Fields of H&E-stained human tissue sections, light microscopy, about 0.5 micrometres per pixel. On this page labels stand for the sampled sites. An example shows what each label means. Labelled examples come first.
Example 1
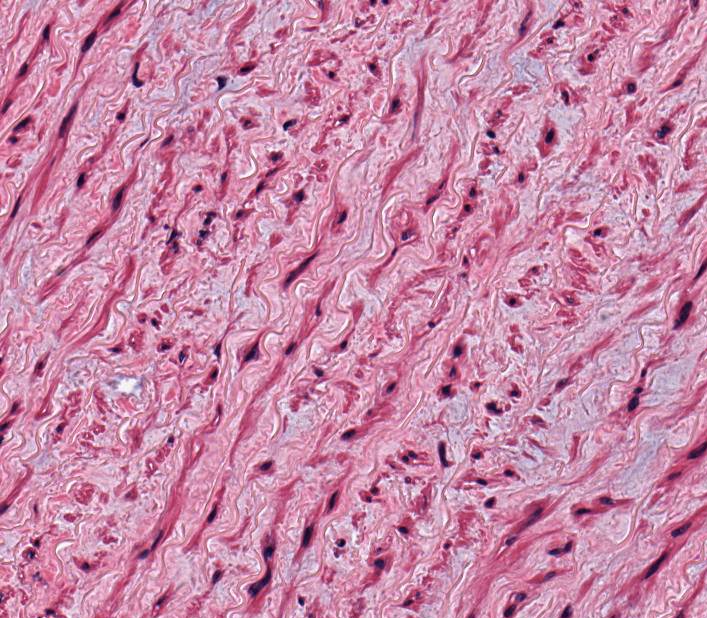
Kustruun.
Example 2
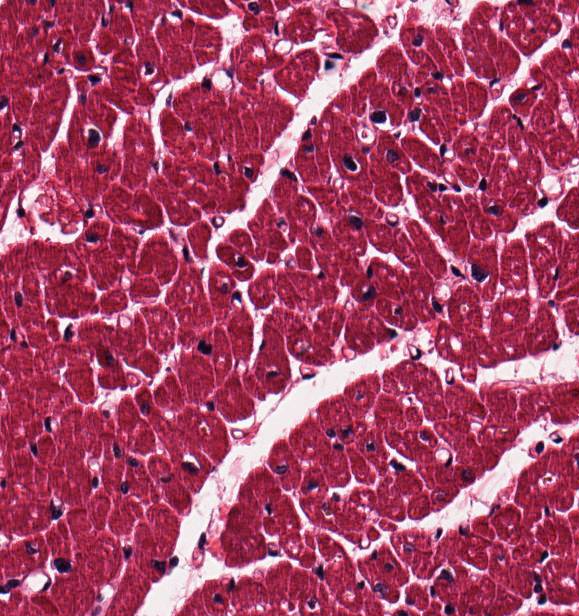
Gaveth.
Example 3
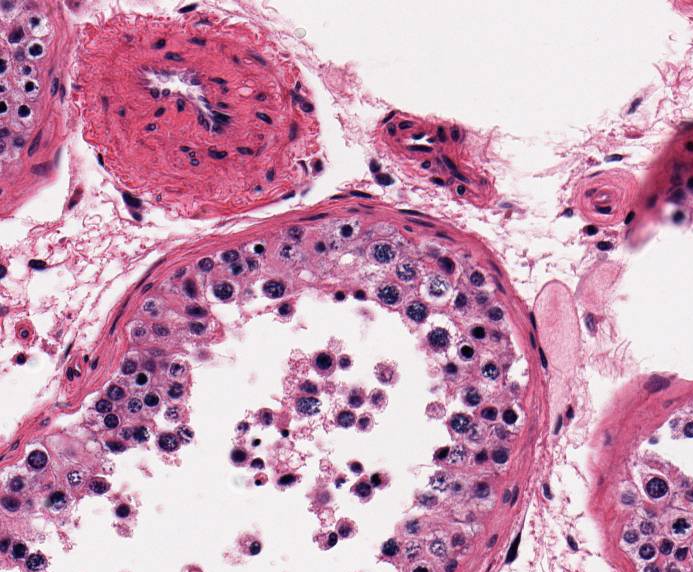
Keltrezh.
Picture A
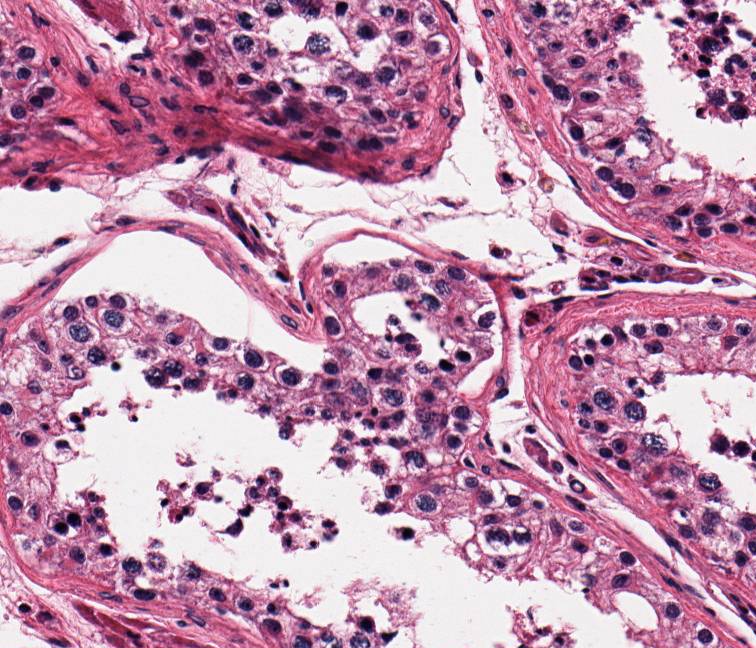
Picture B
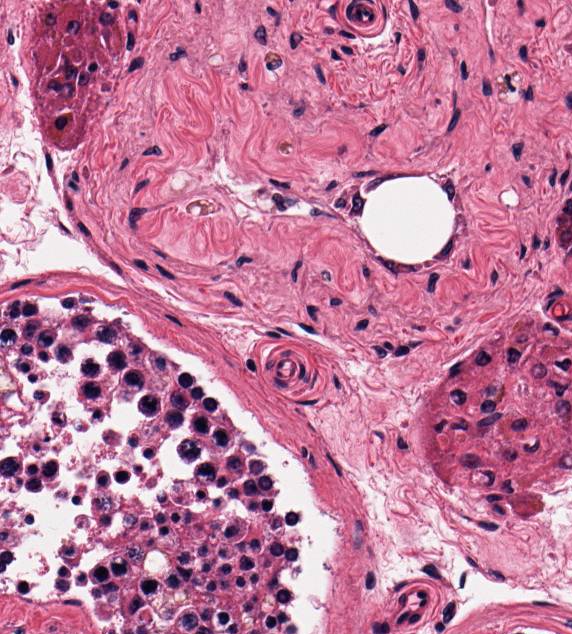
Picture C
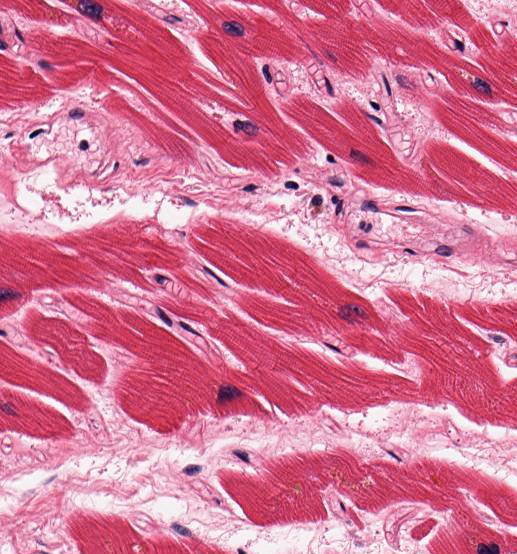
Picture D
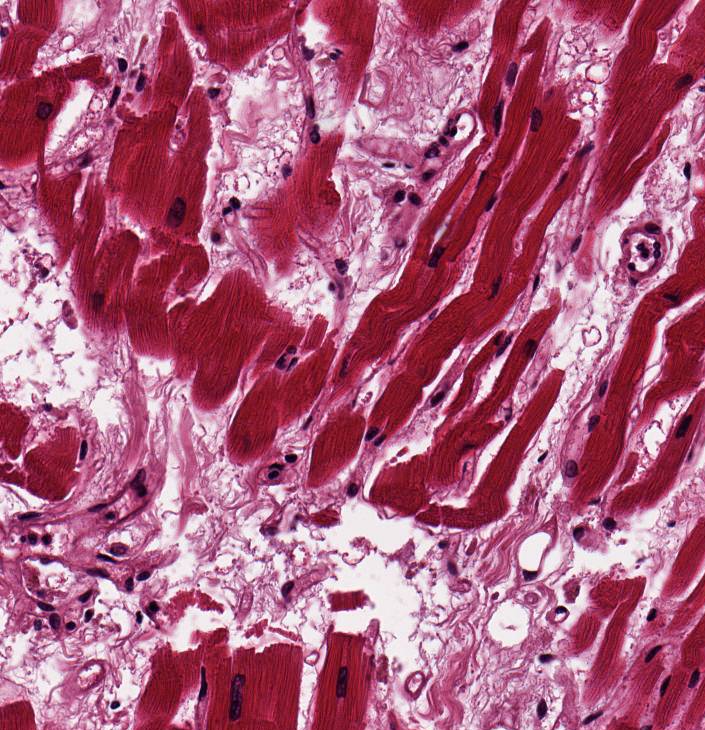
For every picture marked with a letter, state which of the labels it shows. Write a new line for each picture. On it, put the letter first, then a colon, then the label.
A: Keltrezh.
B: Keltrezh.
C: Gaveth.
D: Gaveth.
